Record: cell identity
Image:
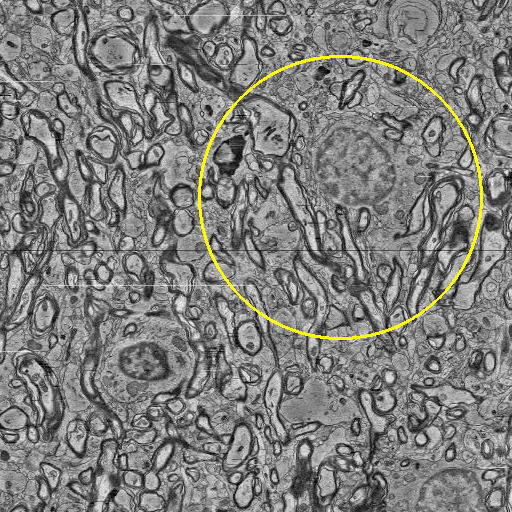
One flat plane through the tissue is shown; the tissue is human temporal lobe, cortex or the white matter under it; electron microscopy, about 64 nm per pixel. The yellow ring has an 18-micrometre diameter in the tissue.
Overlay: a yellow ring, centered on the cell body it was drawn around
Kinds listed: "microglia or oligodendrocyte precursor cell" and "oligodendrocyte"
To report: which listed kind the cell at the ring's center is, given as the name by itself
oligodendrocyte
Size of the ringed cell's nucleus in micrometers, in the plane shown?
In this plane the nucleus measures roughly 5 by 4 micrometers.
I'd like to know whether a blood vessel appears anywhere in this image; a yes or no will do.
No, there is no blood vessel.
